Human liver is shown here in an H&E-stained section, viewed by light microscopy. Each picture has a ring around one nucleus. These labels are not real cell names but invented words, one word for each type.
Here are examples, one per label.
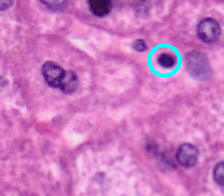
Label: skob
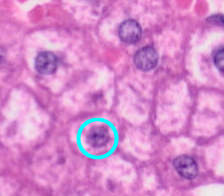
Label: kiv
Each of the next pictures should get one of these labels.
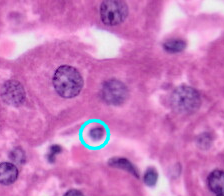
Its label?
skob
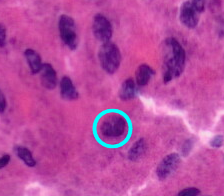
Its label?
kiv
